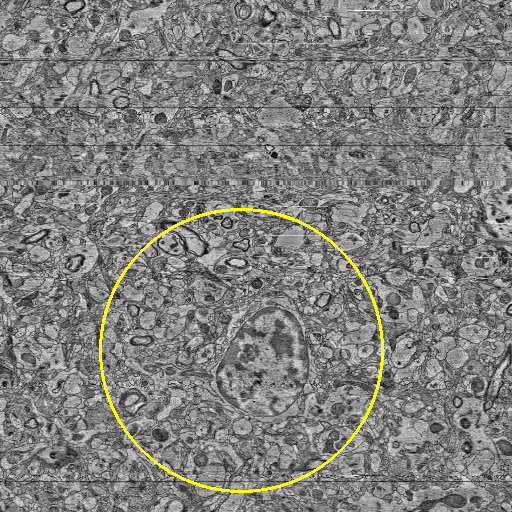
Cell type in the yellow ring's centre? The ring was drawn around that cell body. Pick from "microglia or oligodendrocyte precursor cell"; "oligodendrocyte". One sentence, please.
The ringed cell body is that of a microglial cell or oligodendrocyte precursor cell.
